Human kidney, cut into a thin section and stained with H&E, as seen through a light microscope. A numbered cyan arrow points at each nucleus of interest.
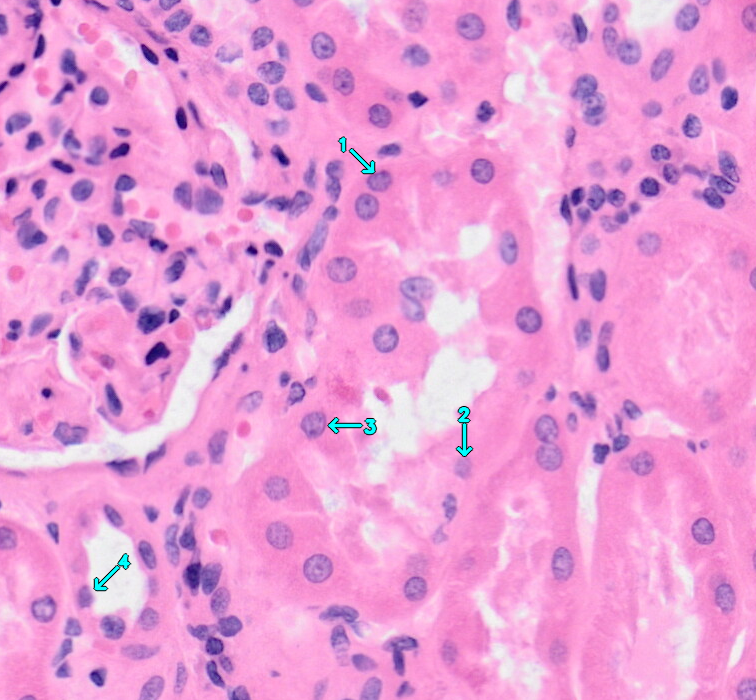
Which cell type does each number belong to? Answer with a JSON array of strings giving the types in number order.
["proximal tubule cell", "proximal tubule cell", "proximal tubule cell", "loop of Henle or distal tubule cell"]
